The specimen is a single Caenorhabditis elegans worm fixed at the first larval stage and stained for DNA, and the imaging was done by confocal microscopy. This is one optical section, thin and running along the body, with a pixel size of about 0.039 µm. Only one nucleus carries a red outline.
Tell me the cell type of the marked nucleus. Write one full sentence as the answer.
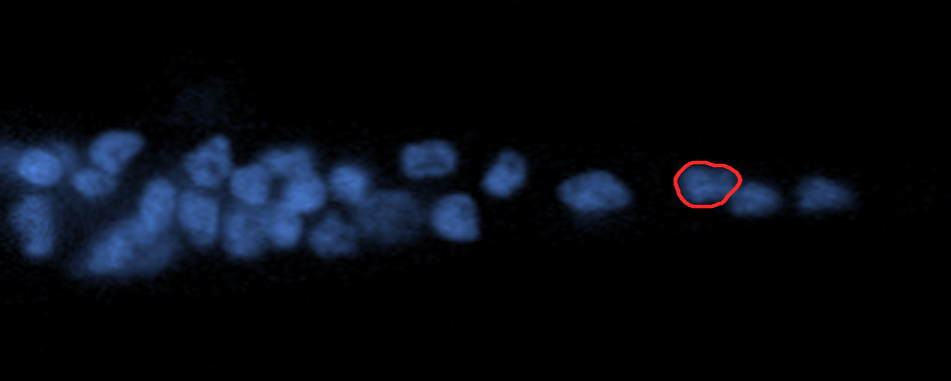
The marked cell is a hypodermal cell (hyp).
